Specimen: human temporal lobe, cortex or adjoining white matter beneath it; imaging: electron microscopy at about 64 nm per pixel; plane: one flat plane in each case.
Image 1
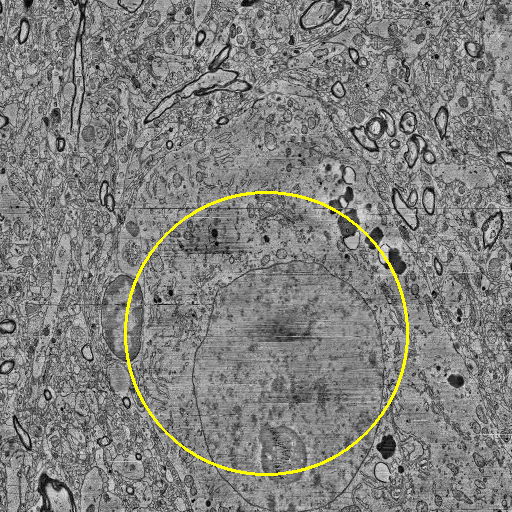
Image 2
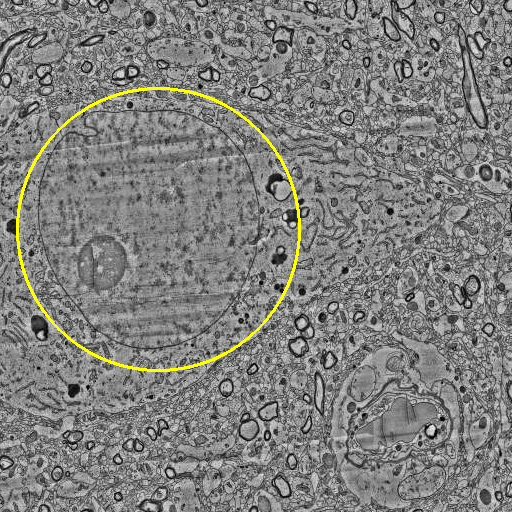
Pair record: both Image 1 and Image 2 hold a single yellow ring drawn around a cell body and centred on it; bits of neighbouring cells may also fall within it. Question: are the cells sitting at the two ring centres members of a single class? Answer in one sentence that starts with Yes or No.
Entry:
Yes, both ring-centre cells in Image 1 and Image 2 are members of one class.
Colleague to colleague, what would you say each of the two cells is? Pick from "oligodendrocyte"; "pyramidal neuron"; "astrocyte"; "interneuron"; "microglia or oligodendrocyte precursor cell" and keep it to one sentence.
Each cell, in the first picture and the second, is a pyramidal neuron.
